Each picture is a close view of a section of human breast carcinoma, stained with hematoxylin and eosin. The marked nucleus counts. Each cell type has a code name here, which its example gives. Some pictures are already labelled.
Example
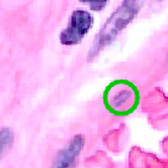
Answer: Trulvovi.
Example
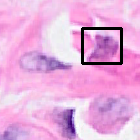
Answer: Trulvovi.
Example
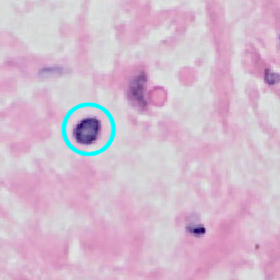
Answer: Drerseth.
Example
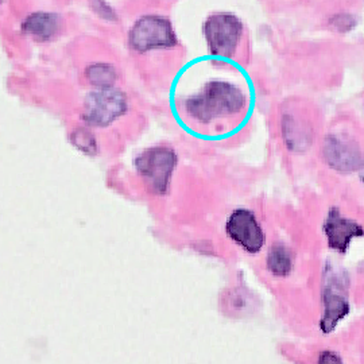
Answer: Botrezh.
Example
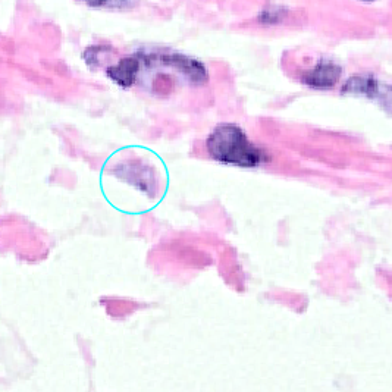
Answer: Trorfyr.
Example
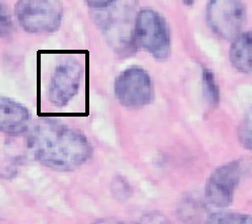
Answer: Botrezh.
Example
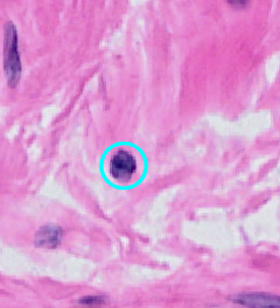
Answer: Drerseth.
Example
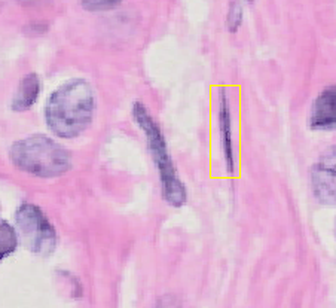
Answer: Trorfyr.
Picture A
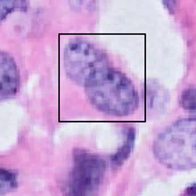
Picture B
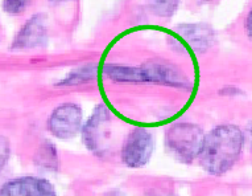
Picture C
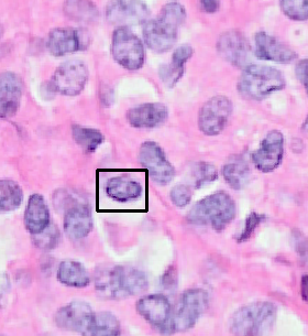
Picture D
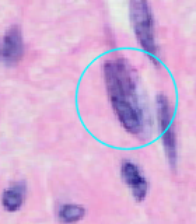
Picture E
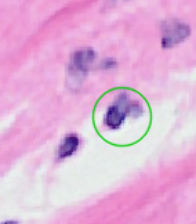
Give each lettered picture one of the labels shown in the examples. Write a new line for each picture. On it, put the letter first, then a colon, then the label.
A: Botrezh.
B: Trulvovi.
C: Botrezh.
D: Trulvovi.
E: Drerseth.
